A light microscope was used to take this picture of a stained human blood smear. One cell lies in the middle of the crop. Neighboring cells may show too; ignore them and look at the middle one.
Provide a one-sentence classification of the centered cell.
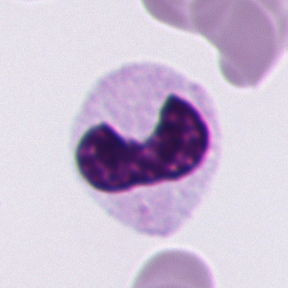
The center cell of this crop is a band neutrophil.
